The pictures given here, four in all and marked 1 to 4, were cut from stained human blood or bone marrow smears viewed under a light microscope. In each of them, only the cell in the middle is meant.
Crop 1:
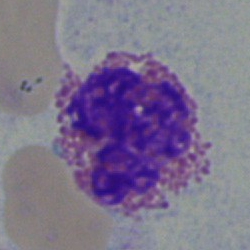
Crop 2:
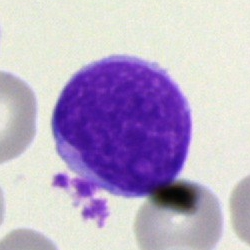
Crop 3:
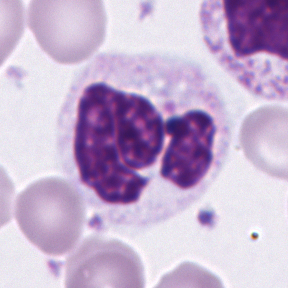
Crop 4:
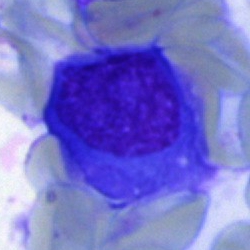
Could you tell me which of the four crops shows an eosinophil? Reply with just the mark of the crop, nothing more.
1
